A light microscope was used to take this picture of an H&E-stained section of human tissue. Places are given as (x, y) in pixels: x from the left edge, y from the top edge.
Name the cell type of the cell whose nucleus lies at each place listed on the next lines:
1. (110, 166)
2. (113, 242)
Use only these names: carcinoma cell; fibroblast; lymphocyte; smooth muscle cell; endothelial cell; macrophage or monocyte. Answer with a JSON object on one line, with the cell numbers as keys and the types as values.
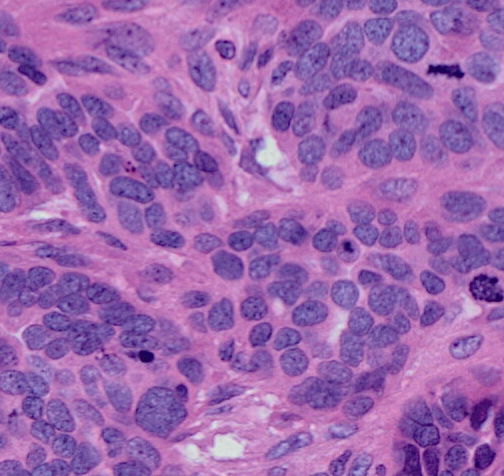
{"1": "carcinoma cell", "2": "fibroblast"}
